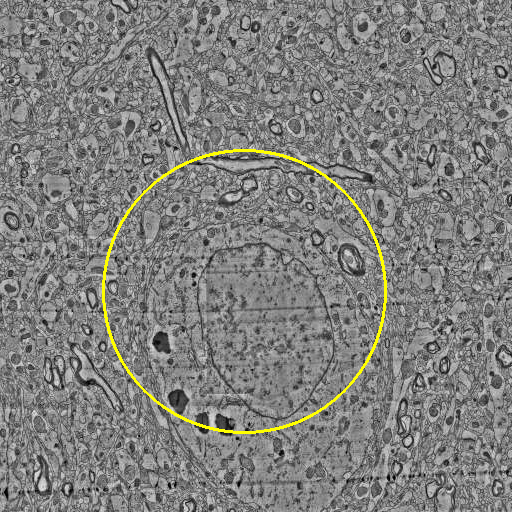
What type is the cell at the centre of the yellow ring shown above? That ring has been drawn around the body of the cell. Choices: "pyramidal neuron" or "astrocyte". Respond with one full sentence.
My answer is that a pyramidal neuron lies at the centre of the yellow ring above.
